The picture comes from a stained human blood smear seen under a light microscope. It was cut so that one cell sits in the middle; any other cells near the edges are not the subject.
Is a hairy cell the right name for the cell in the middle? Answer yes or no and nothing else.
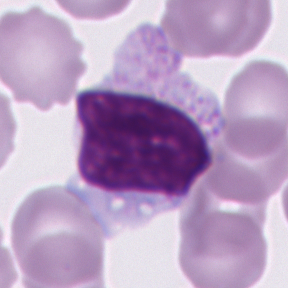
no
